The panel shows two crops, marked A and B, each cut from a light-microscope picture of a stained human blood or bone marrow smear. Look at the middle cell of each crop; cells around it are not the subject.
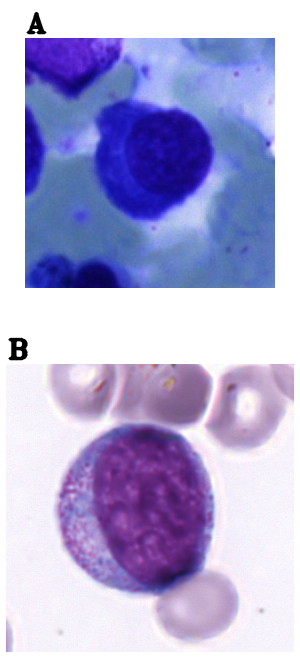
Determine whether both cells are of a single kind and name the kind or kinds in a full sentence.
No, crop A and crop B show a plasma cell and a promyelocyte respectively.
